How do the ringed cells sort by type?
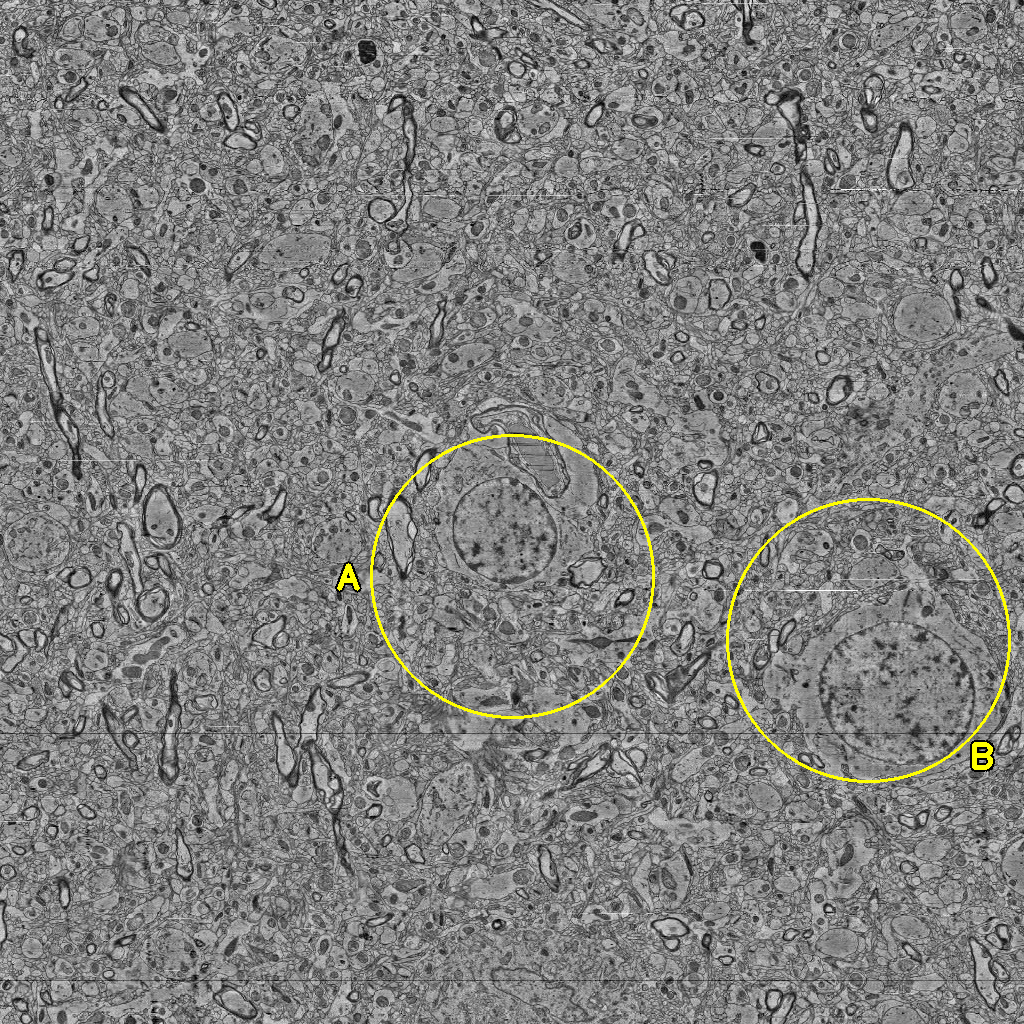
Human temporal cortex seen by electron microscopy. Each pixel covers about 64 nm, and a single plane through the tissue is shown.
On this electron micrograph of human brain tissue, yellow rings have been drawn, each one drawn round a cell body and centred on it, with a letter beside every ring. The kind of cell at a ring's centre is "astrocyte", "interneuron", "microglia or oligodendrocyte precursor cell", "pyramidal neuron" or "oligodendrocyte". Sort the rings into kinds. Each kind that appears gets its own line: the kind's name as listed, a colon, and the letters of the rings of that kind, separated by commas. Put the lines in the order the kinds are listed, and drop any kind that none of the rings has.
astrocyte: B
microglia or oligodendrocyte precursor cell: A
